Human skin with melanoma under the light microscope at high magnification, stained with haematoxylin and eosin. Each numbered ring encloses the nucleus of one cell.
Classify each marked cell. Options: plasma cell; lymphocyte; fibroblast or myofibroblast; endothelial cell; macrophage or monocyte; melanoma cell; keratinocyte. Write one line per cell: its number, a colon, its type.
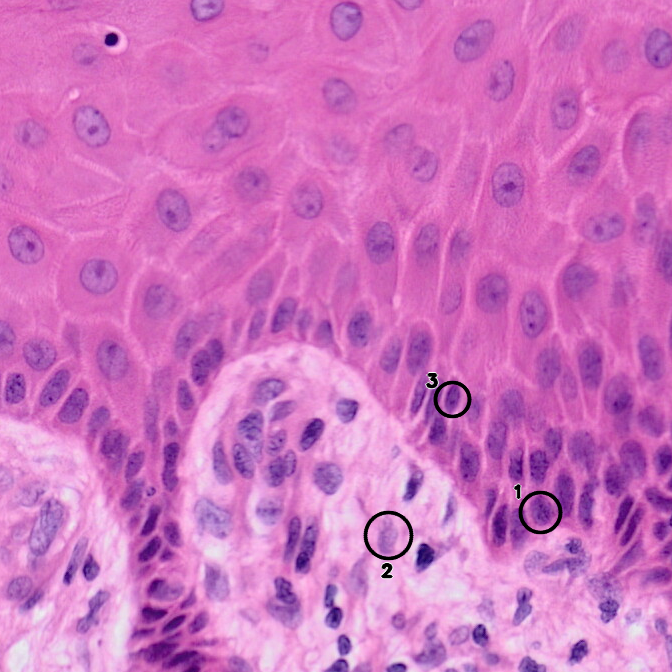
1: keratinocyte
2: fibroblast or myofibroblast
3: keratinocyte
